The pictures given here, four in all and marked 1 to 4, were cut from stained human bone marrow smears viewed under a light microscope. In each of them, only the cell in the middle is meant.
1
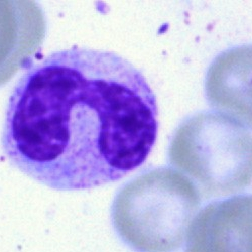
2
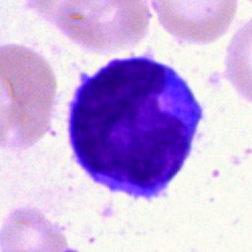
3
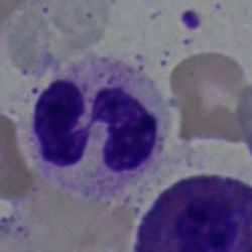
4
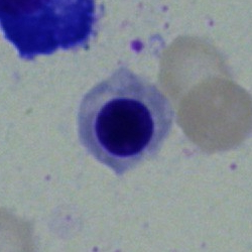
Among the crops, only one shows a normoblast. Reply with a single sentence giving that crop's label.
Look at crop 4; that is the one with a normoblast in its center.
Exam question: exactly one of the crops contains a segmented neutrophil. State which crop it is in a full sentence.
Crop 3 alone, of all the crops, shows a segmented neutrophil.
